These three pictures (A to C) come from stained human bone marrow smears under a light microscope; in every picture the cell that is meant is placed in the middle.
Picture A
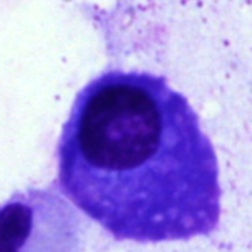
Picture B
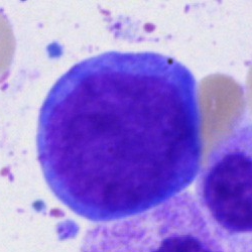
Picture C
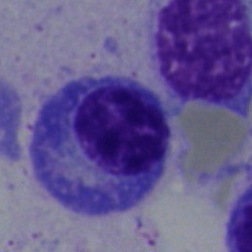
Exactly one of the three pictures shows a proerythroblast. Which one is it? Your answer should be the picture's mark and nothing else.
B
